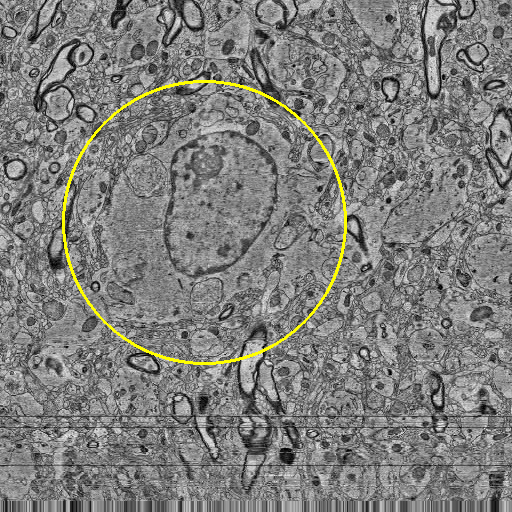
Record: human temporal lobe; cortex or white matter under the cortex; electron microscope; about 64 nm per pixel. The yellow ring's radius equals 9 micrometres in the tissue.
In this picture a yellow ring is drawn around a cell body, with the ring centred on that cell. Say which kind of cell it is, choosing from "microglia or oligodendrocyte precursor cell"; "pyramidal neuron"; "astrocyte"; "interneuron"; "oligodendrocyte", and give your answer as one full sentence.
Here it is an astrocyte that sits at the centre of the drawn yellow ring.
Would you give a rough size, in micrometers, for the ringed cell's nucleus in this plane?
Approximately 10 micrometres long and 7 micrometres wide, in this plane.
